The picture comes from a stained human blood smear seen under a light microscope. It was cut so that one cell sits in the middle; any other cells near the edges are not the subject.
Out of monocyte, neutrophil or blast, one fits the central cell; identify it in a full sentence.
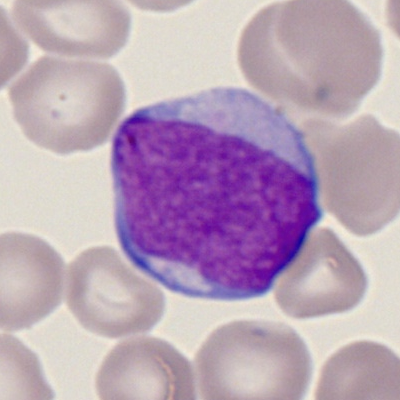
In this crop, the cell at the very middle is a blast.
